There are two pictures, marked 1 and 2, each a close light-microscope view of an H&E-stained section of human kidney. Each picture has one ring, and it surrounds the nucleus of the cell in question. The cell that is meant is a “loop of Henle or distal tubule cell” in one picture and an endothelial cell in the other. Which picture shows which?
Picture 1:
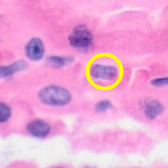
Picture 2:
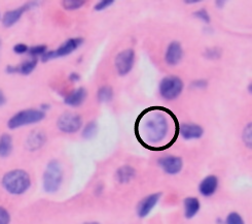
1: endothelial cell
2: loop of Henle or distal tubule cell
